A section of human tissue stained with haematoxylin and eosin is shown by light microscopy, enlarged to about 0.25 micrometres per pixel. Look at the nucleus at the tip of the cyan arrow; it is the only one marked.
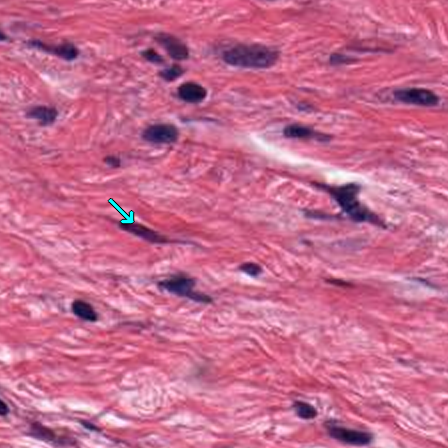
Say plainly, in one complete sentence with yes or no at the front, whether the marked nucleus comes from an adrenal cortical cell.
No, the marked nucleus is assigned not to an adrenal cortical cell but to a supporting cell.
